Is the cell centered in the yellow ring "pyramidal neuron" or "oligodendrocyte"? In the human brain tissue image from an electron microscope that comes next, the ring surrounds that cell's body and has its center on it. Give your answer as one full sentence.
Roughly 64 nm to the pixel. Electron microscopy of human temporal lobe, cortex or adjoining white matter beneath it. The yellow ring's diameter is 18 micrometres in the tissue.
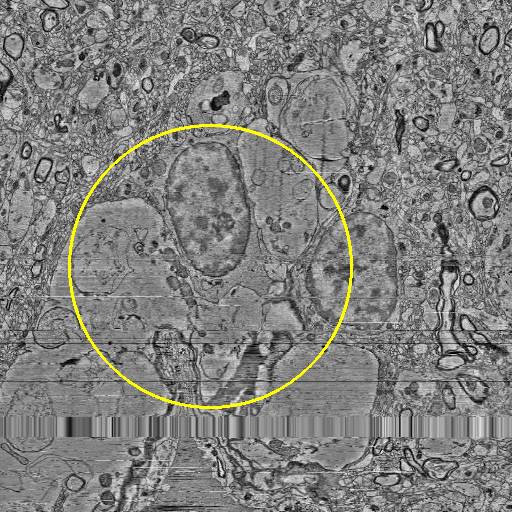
The cell at the center of the yellow ring is an oligodendrocyte in the micrograph.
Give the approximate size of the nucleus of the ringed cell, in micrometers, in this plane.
Clearly longer than it is wide in this plane, the nucleus measures roughly 9 by 5 micrometres.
